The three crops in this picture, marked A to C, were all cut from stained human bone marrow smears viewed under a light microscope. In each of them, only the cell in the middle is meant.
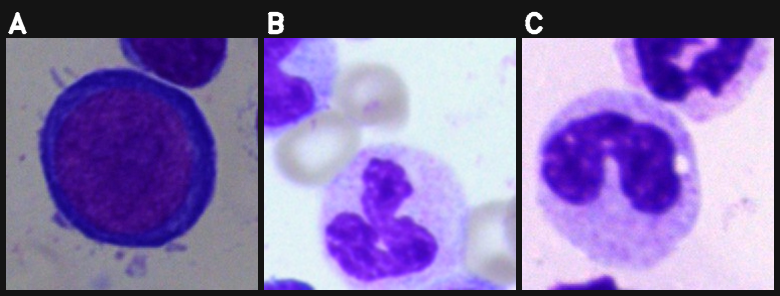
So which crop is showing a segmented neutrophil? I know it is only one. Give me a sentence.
The requested cell, a segmented neutrophil, is the one in crop B.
